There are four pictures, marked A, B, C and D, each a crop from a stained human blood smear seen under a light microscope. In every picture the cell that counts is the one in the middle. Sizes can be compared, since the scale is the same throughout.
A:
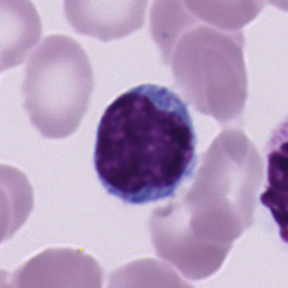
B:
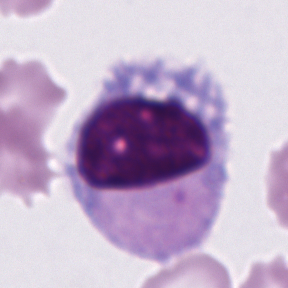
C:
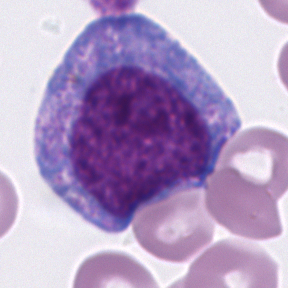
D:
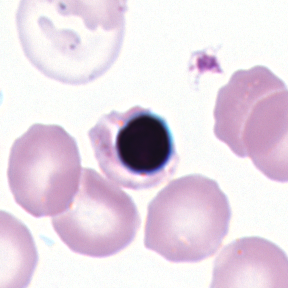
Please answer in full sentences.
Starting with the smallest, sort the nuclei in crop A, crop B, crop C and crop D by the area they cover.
The order is D, A, B, C, beginning with the smallest.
